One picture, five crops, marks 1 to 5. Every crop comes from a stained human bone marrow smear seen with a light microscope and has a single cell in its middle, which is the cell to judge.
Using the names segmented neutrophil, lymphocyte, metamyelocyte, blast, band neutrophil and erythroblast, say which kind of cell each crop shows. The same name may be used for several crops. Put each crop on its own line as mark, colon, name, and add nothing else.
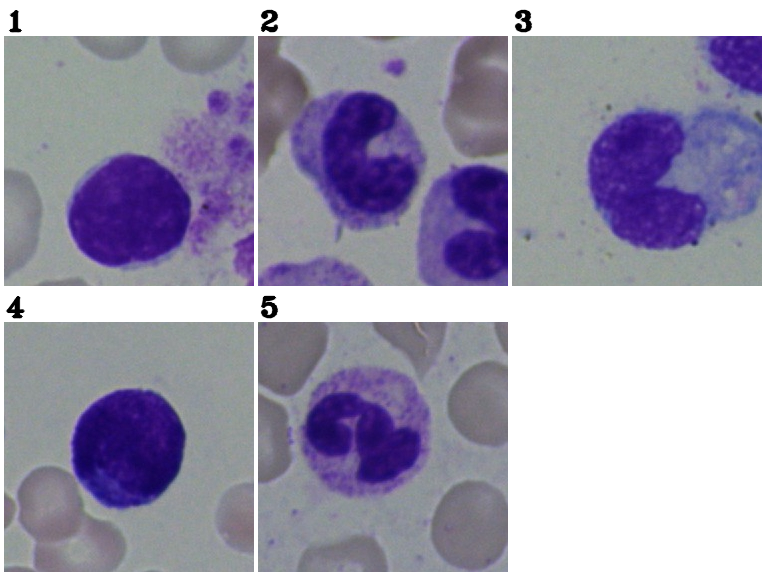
1: lymphocyte
2: band neutrophil
3: metamyelocyte
4: blast
5: segmented neutrophil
